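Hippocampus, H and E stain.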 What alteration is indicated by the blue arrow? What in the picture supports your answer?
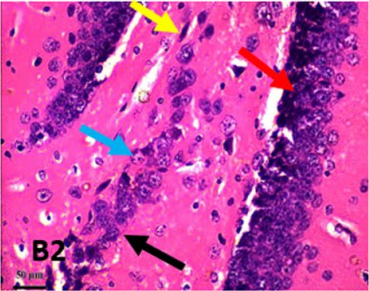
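Cell body chromatolysis. Arrowed neuron has pale, washed-out cytoplasm. Cell body looks swollen with faint staining around the nucleus.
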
